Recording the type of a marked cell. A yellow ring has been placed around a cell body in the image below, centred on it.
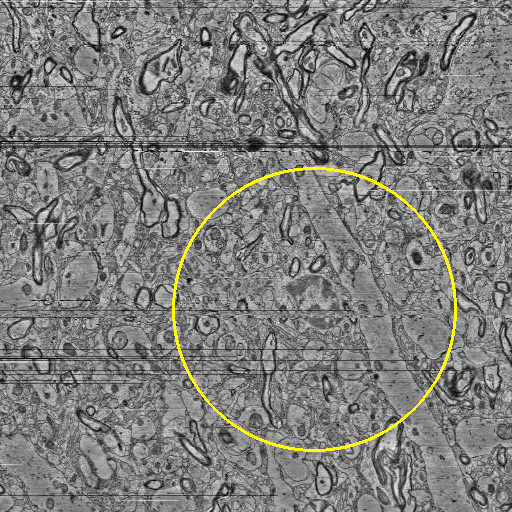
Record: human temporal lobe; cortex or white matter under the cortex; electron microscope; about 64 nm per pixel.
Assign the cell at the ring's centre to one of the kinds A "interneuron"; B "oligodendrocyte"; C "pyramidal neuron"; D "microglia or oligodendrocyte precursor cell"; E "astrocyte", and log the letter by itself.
D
